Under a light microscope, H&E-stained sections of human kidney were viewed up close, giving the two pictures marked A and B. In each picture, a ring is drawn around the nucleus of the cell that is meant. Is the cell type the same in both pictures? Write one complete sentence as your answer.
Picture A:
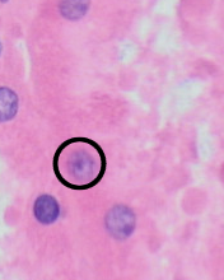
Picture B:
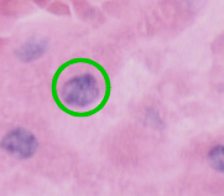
Yes, they are the same type: both are proximal tubule cells.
